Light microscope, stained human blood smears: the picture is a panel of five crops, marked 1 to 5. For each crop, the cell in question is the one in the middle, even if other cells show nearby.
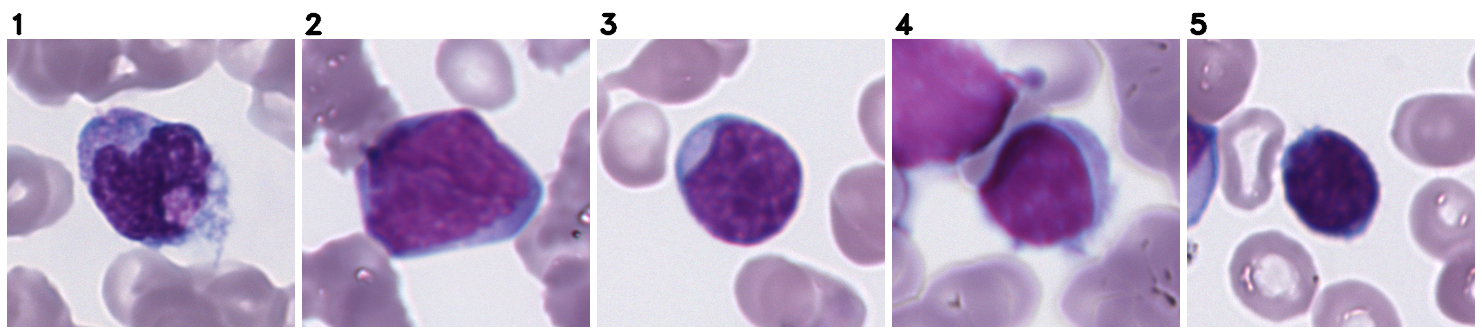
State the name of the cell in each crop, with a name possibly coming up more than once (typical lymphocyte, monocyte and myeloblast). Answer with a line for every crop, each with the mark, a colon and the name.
1: monocyte
2: myeloblast
3: myeloblast
4: typical lymphocyte
5: typical lymphocyte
